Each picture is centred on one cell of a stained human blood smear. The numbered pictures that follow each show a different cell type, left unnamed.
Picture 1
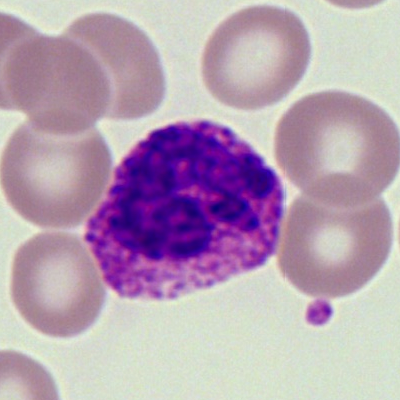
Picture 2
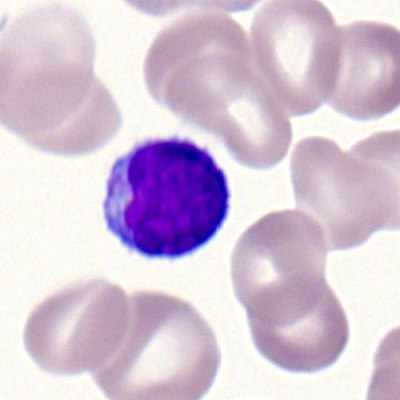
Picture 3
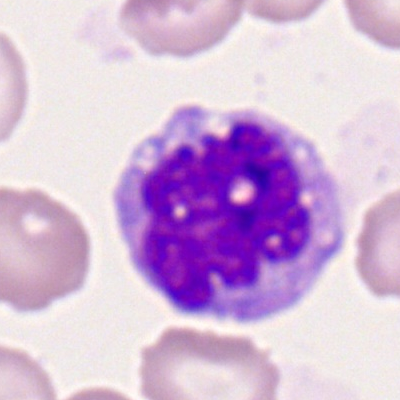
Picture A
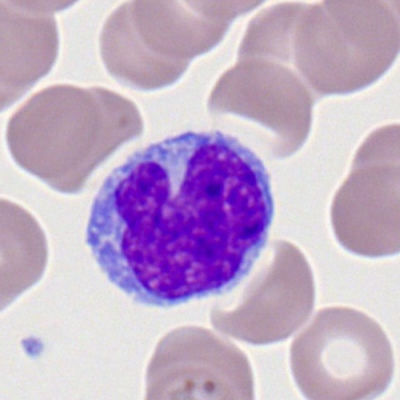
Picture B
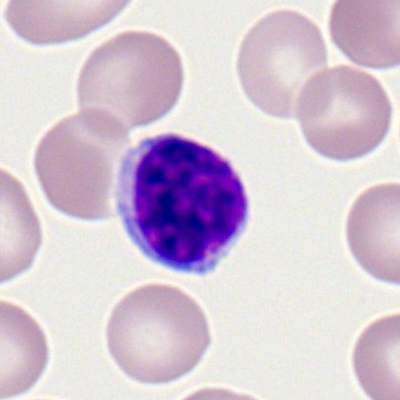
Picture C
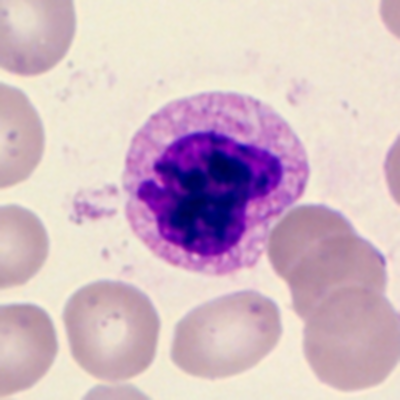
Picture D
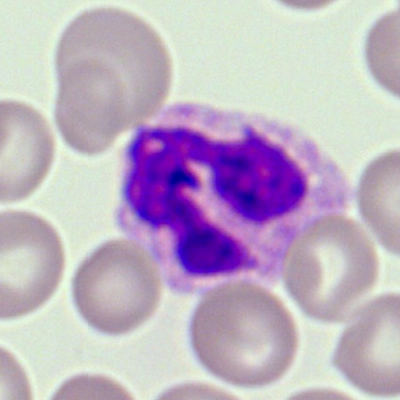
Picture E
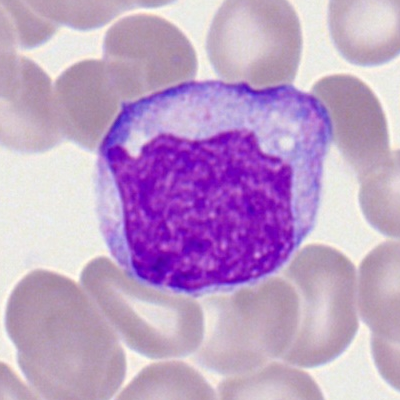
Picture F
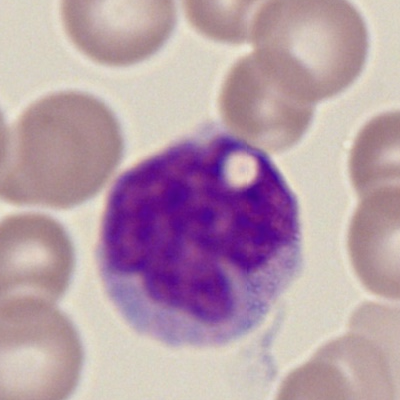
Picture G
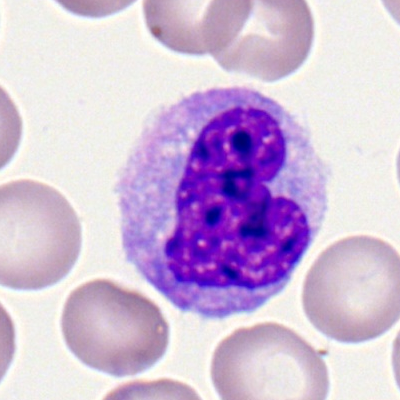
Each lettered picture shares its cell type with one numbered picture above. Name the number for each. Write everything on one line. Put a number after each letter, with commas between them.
A 3, B 2, C 1, D 1, E 3, F 3, G 3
